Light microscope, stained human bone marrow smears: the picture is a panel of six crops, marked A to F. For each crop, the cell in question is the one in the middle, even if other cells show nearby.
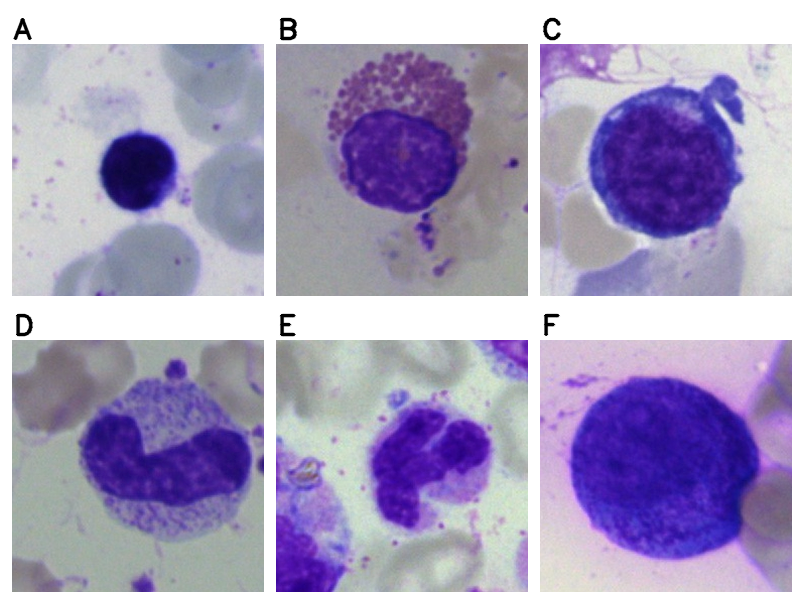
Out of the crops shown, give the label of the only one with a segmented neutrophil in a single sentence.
Selected crop: E, which is the one that shows a segmented neutrophil.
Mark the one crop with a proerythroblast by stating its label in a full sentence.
Crop C is the crop that displays a proerythroblast.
